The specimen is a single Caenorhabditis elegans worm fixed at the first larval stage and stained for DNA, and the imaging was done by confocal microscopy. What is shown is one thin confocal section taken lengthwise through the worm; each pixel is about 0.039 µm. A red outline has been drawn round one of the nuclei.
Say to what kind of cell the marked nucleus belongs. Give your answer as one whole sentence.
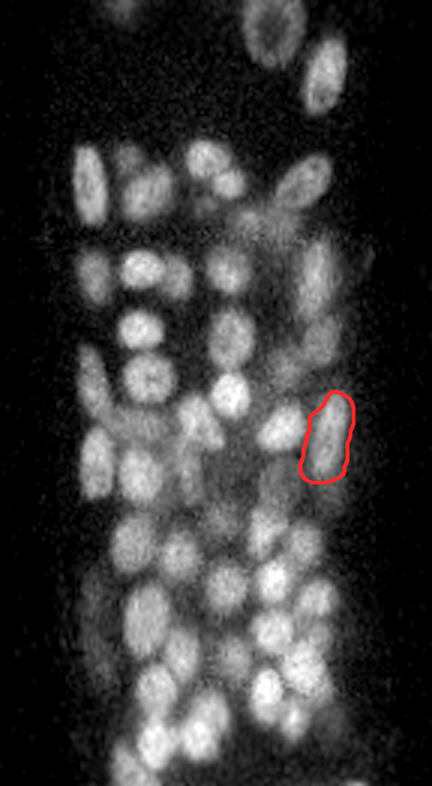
This nucleus is from a body wall muscle cell.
